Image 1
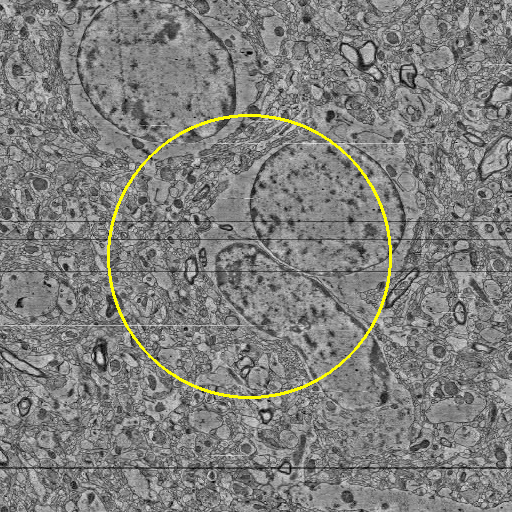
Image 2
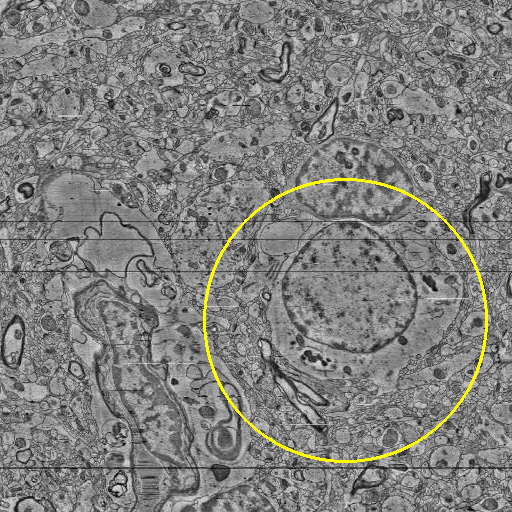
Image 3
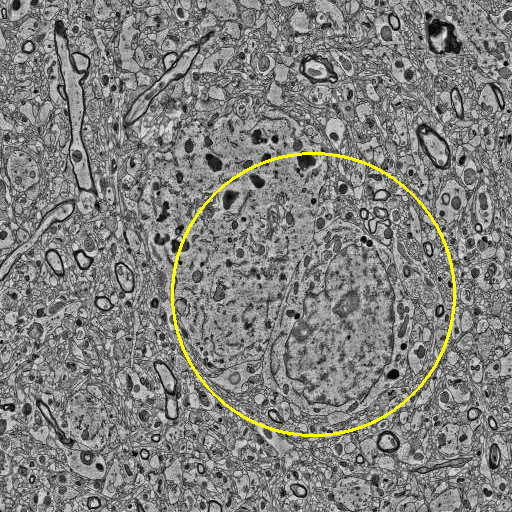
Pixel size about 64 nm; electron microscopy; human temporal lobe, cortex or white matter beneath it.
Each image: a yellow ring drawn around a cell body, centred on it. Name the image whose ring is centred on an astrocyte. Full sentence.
That is Image 2.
